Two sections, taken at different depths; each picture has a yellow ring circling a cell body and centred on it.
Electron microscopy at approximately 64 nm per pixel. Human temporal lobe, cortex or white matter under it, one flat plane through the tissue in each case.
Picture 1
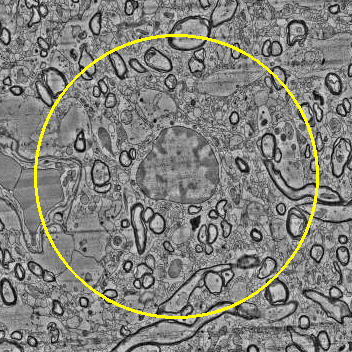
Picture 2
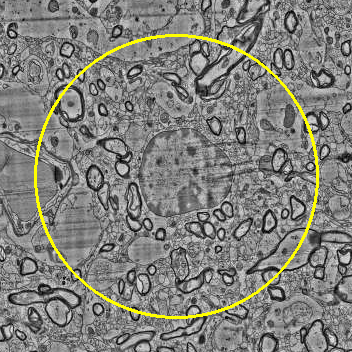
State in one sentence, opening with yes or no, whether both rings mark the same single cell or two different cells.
Yes, the same cell has been marked in both yellow rings.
